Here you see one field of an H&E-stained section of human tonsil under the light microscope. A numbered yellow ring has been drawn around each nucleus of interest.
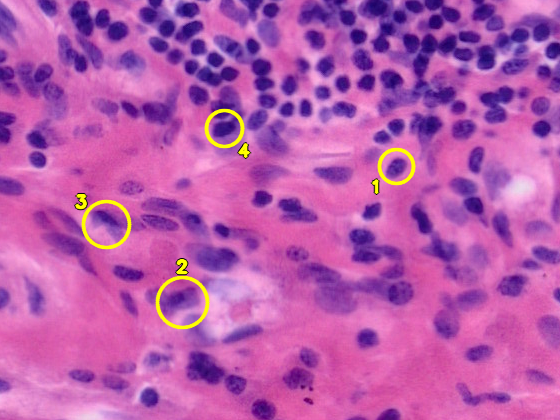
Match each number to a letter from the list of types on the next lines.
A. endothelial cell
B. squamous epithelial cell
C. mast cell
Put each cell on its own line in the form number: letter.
1: C
2: A
3: A
4: A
